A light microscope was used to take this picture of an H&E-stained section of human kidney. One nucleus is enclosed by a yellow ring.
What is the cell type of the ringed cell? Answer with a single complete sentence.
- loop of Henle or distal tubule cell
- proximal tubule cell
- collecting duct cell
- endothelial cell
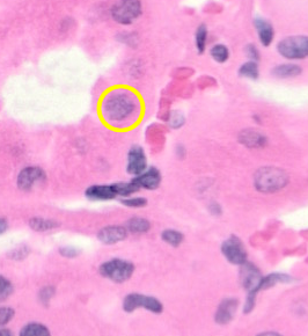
Labelled by cell type, the ringed cell is a proximal tubule cell.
